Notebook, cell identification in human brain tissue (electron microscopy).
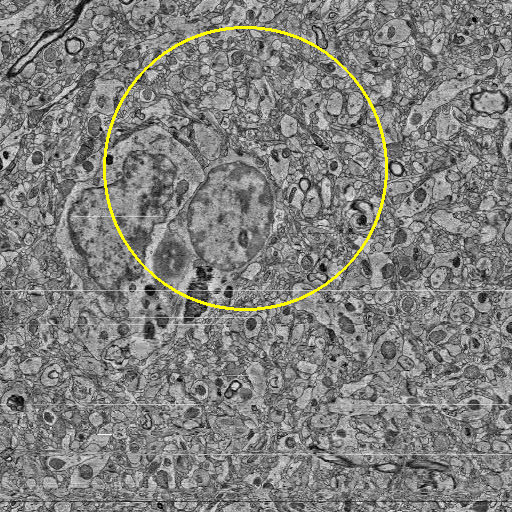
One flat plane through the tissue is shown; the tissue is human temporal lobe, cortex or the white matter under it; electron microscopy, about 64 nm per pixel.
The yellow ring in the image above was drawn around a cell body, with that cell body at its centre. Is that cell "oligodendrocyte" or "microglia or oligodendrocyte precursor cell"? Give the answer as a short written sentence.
The cell in the ring is an oligodendrocyte.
